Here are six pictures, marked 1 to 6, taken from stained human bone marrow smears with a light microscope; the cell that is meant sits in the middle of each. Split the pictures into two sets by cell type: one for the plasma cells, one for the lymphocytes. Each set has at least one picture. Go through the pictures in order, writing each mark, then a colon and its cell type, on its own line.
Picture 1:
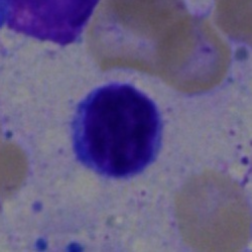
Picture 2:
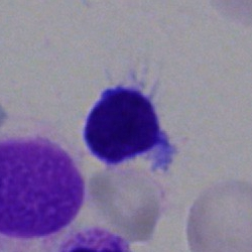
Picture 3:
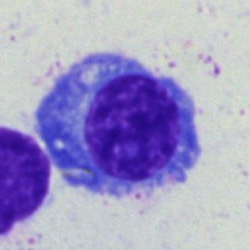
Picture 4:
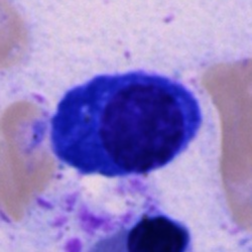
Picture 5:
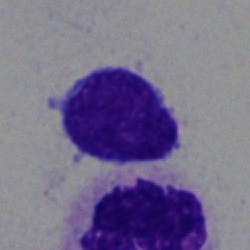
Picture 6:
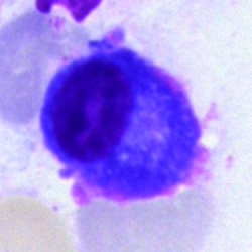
1: lymphocyte
2: lymphocyte
3: plasma cell
4: plasma cell
5: lymphocyte
6: plasma cell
